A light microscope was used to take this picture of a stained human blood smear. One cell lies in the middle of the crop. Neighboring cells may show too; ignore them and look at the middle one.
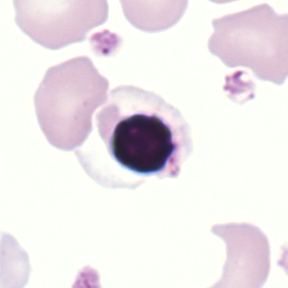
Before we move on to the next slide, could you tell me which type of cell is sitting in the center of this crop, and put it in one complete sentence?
The crop shows a normoblast in its centre.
